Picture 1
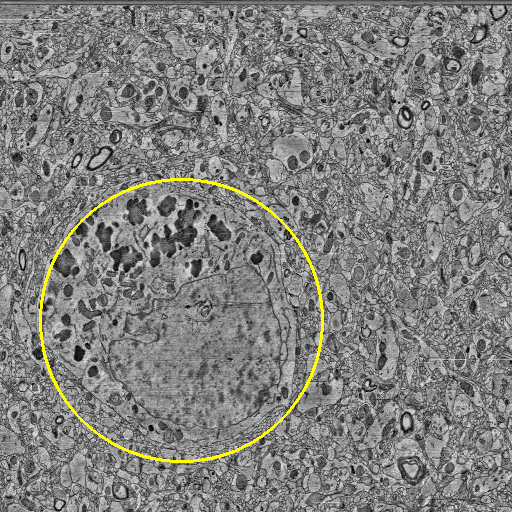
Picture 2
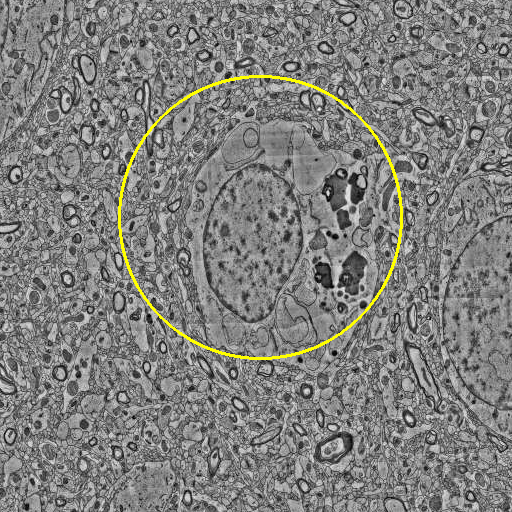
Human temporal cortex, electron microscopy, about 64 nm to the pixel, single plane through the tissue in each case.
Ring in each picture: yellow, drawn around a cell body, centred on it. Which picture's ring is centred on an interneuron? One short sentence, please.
Picture 1 is the one.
